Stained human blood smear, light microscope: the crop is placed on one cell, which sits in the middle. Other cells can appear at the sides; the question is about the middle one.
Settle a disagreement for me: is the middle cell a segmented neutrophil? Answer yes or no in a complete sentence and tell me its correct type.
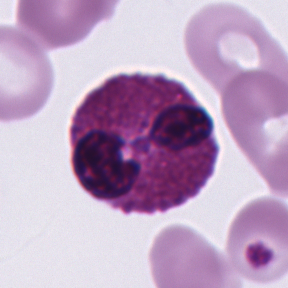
No, the centred cell is an eosinophil instead of a segmented neutrophil.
